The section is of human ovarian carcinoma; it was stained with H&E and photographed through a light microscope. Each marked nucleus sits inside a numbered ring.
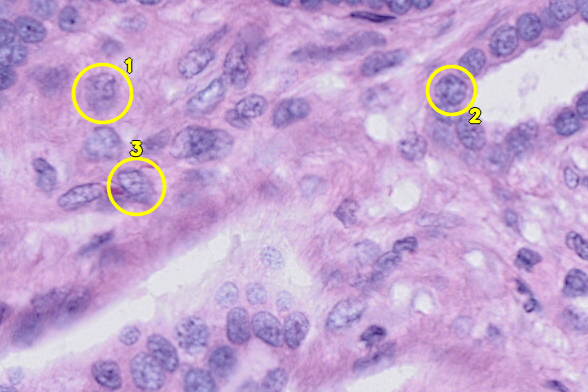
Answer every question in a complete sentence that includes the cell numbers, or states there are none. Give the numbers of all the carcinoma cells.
The sole numbered cell that is a carcinoma cell is cell 2.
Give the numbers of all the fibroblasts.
Of all the numbered cells, only one is a fibroblast, and that is cell 1.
